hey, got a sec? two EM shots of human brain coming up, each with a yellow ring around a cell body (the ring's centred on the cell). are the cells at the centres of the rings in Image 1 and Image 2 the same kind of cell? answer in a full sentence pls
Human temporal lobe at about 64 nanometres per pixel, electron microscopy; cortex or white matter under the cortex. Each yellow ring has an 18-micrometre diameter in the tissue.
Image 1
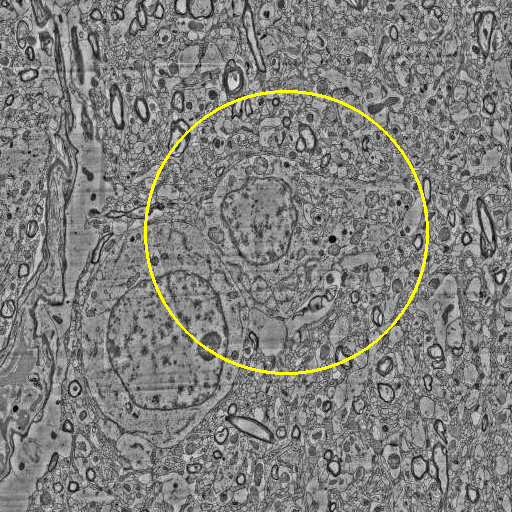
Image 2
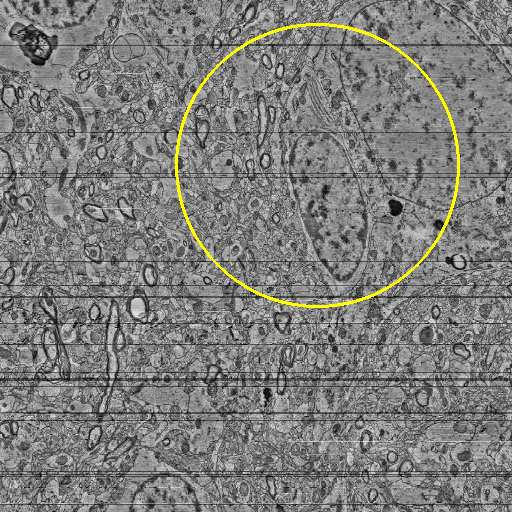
No, they are two kinds of cell.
